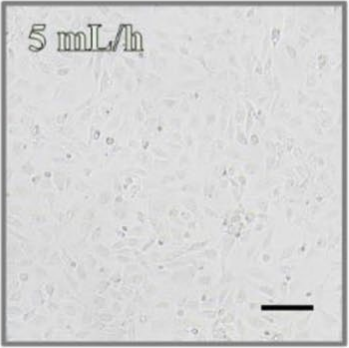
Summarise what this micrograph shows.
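The adherent cells are flattened and pale grey against a light background. They cover most of the field and lie closely packed. Most are spread into polygonal or elongated, spindle-like shapes, and many have short tapering processes that touch those of neighbouring cells. Scattered among the spread cells are small, rounded, brighter cells with dark rims. These have not flattened. A few of them sit in small clusters.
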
